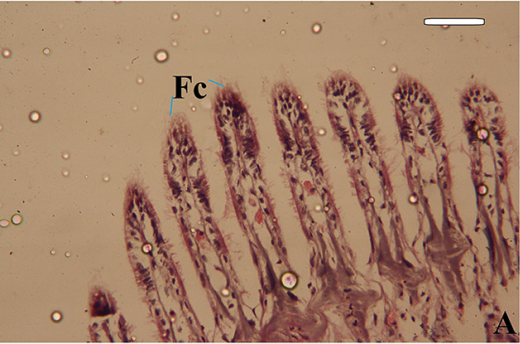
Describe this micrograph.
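This is a section of bivalve gill showing a row of parallel, finger-like gill filaments rising from a common base. Each filament is lined by an epithelium of columnar cells with elongated, dark purple nuclei. Its outer surface, especially around the rounded tips, carries a dense fringe of fine hair-like cilia. The core of each filament holds loose pinkish connective tissue with scattered cells. The filaments are evenly spaced and of similar length, separated by clear spaces, and their outline is smooth and regular.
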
